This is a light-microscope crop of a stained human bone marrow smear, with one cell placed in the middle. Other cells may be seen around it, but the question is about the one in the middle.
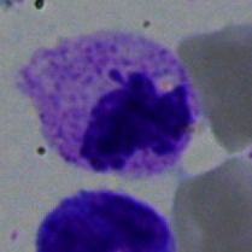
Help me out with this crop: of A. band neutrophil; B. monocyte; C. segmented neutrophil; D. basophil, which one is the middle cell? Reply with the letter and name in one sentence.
Occupying the middle of the crop is a segmented neutrophil, hence option C is correct.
